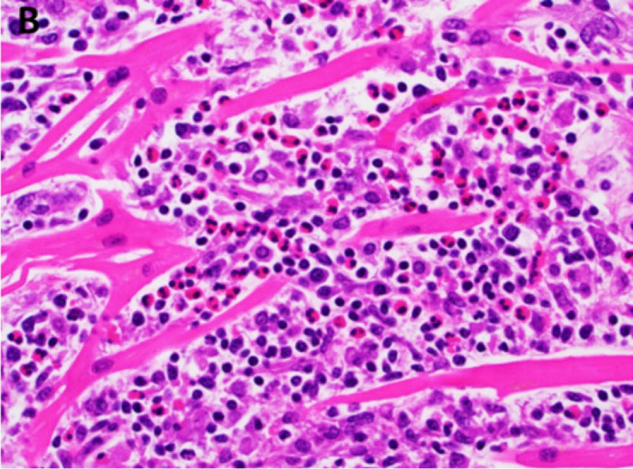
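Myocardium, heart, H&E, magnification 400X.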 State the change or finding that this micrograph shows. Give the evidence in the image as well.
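Many cells with bright red-orange granular cytoplasm and lobed nuclei. Dense sheets of inflammatory cells lie between pink elongated muscle fibers.
Answer: eosinophil-rich inflammatory infiltrate separating the myofibers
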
